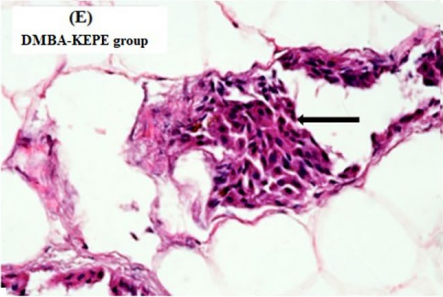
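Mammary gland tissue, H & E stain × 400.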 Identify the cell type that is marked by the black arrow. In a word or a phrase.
Atypical cells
